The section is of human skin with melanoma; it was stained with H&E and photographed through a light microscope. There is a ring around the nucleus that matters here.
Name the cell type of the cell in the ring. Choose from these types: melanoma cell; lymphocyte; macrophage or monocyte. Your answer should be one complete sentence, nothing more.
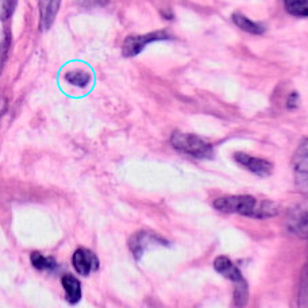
In cellular terms, the cell in the ring is a lymphocyte.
